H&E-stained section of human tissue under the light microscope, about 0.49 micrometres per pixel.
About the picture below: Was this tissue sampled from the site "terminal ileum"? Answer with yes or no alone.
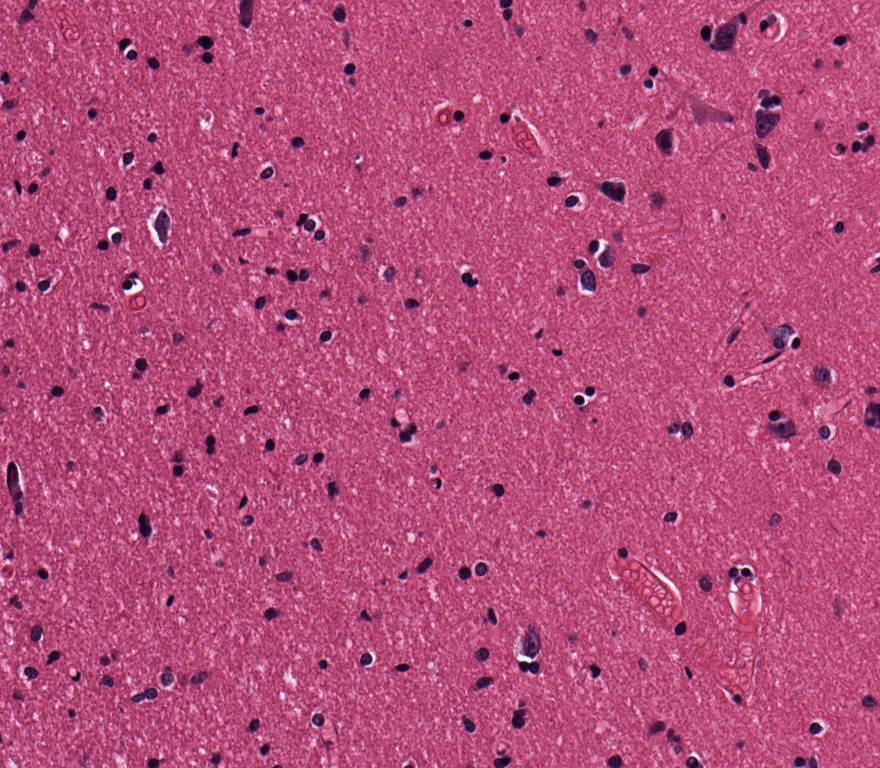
no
